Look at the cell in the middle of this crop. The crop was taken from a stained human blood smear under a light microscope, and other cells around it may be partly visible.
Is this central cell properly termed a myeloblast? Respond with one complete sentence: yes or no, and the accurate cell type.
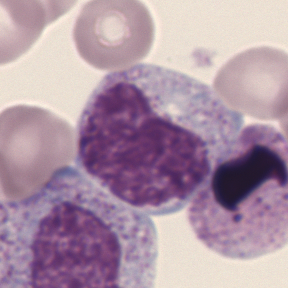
No, the central cell does not count as a myeloblast; it is a promyelocyte.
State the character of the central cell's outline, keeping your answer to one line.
Worth noting that the cell border is smooth and lacks projections.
